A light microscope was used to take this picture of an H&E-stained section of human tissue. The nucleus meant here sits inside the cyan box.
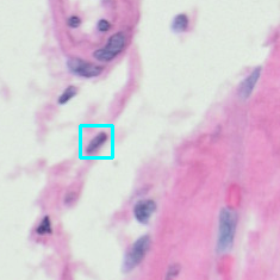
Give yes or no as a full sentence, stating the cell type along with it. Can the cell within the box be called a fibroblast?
Yes, the cell within the box is a fibroblast by cell type.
